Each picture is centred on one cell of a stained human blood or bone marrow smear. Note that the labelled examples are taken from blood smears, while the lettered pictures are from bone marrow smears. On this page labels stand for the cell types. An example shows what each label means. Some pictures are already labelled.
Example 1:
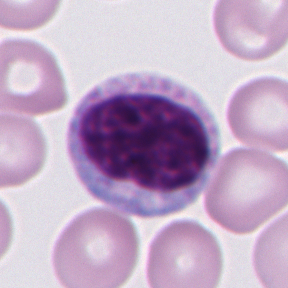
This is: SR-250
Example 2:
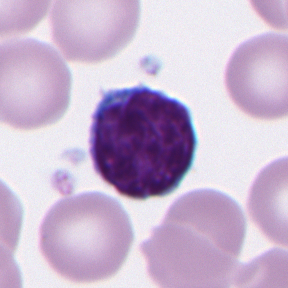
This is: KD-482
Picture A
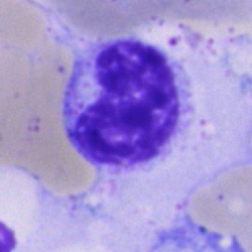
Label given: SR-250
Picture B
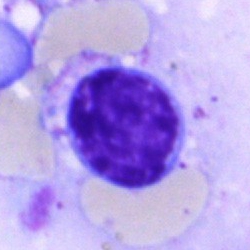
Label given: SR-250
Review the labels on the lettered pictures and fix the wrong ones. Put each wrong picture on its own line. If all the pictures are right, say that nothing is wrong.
B: not SR-250 but KD-482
